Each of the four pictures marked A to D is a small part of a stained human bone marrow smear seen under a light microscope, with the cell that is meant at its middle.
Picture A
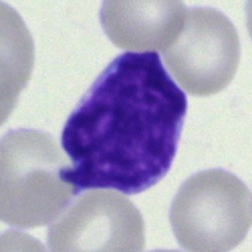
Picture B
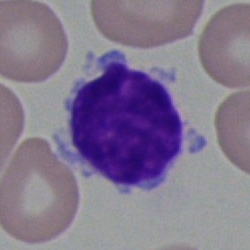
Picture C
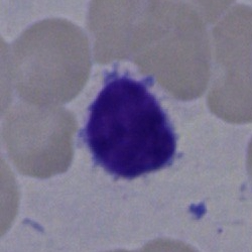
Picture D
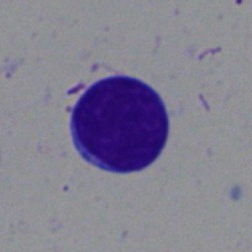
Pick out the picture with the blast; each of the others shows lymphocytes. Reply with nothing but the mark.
A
